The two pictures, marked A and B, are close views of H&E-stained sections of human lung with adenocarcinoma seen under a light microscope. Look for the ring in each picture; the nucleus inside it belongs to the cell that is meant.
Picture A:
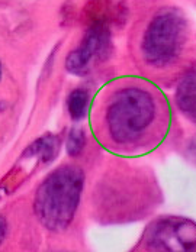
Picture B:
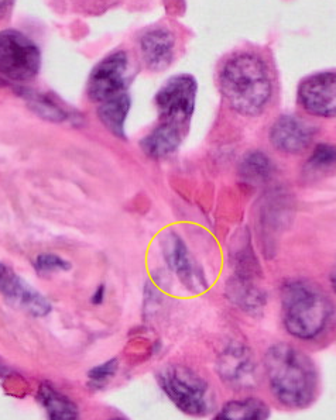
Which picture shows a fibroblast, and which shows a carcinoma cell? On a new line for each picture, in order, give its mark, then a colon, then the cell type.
A: carcinoma cell
B: fibroblast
